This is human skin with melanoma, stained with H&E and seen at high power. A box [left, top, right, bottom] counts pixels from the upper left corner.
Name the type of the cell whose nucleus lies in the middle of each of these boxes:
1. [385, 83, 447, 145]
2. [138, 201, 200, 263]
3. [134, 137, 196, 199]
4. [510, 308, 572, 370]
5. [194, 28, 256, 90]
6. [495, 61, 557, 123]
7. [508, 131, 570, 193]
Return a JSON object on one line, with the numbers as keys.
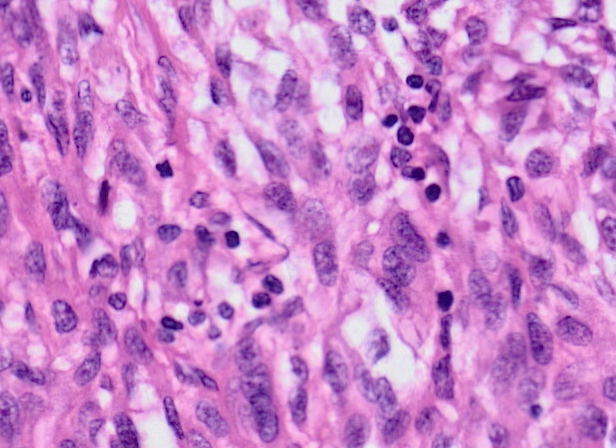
{"1": "lymphocyte", "2": "lymphocyte", "3": "lymphocyte", "4": "melanoma cell", "5": "melanoma cell", "6": "melanoma cell", "7": "melanoma cell"}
